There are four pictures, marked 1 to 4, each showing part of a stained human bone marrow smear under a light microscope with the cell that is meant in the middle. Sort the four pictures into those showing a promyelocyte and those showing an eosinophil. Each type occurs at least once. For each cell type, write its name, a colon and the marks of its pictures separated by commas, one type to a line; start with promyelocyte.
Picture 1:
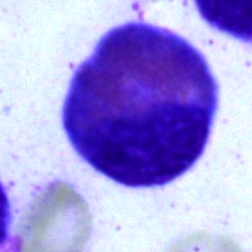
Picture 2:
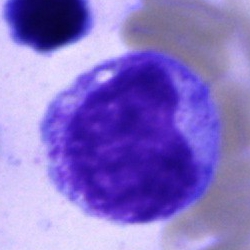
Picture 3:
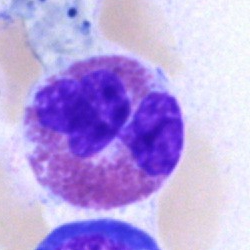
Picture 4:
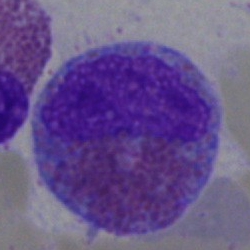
promyelocyte: 2
eosinophil: 1, 3, 4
